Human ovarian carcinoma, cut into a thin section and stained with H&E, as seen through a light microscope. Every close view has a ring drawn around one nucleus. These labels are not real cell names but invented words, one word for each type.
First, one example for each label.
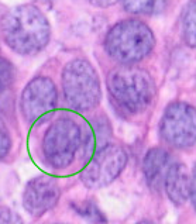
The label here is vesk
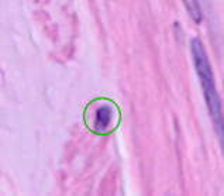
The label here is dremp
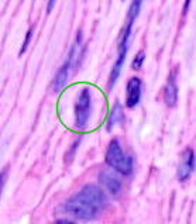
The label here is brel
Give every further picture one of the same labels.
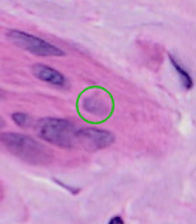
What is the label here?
dremp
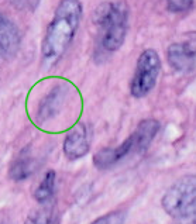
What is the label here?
brel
